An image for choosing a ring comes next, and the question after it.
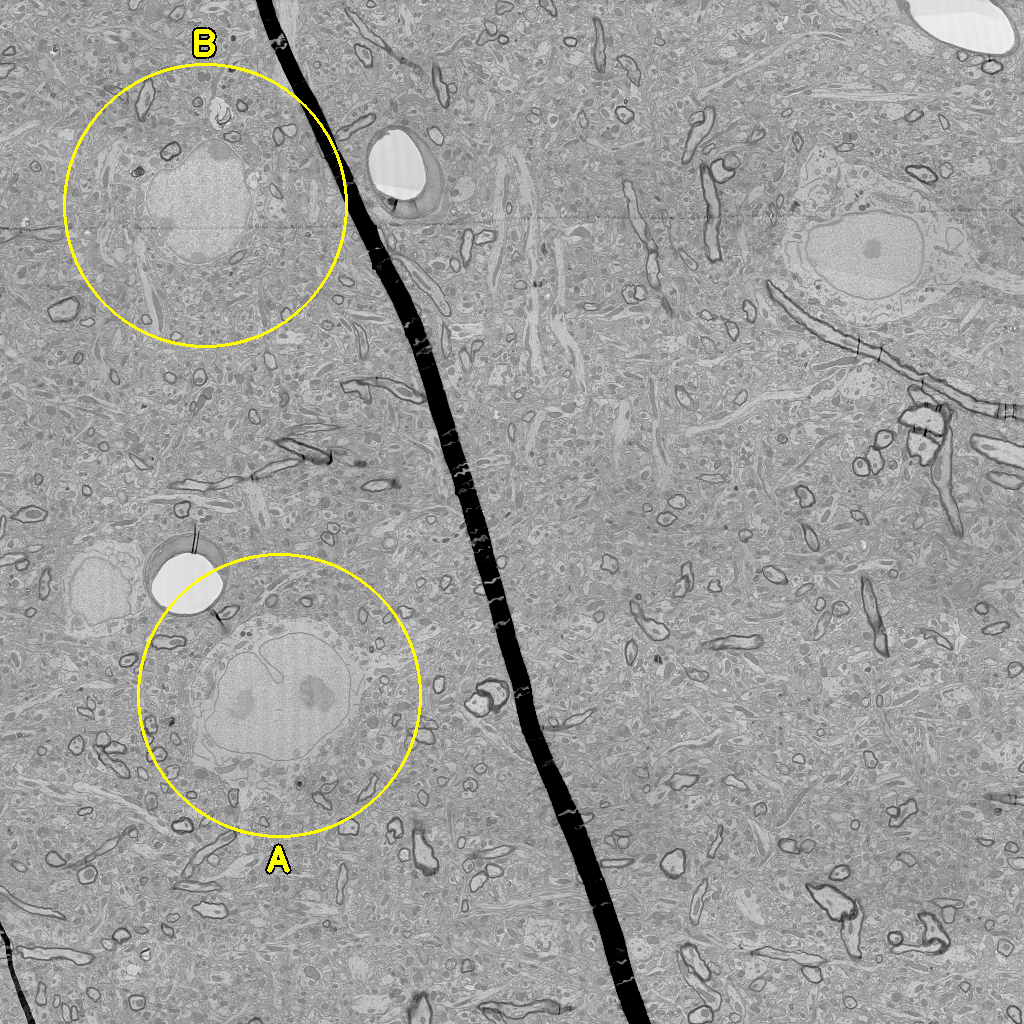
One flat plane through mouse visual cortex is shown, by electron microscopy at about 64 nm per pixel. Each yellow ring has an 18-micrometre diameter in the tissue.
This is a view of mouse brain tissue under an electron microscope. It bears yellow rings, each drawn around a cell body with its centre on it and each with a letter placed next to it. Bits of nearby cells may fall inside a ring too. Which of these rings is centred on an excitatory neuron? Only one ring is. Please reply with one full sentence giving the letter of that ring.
Of all the lettered rings, A is the one centred on a cell of that kind.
